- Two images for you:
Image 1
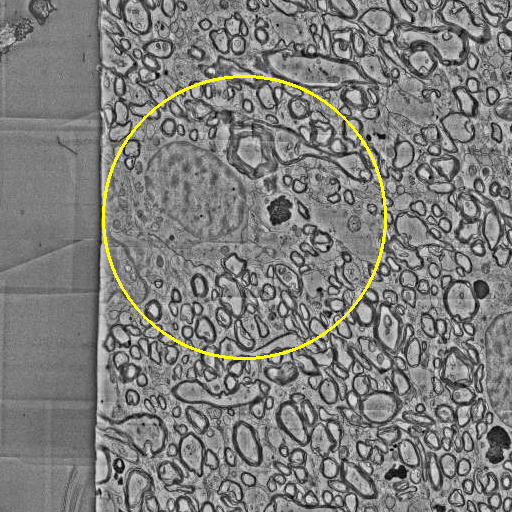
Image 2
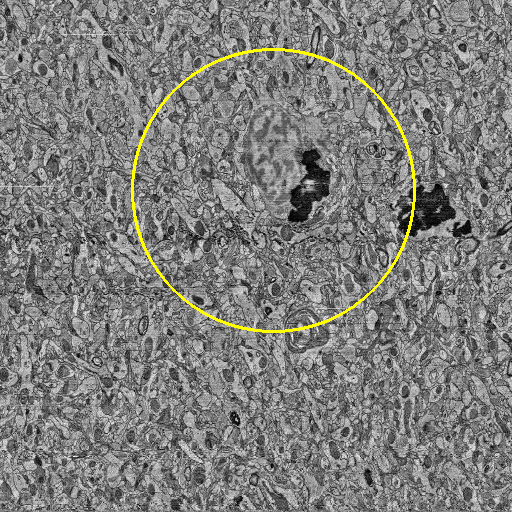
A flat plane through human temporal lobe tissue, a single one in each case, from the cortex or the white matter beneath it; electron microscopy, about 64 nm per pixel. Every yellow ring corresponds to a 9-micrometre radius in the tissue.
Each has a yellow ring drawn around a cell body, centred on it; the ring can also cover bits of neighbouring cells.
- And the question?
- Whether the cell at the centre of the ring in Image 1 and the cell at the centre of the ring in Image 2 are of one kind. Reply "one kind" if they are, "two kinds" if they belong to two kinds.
one kind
